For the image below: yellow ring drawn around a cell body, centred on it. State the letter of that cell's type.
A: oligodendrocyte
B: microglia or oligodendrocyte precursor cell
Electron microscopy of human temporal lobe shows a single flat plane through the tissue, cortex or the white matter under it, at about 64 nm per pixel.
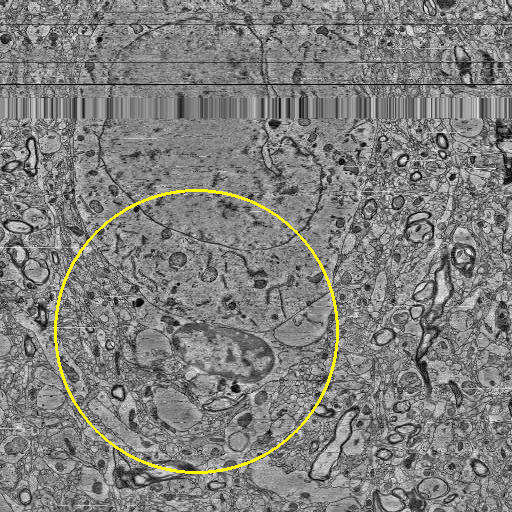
B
